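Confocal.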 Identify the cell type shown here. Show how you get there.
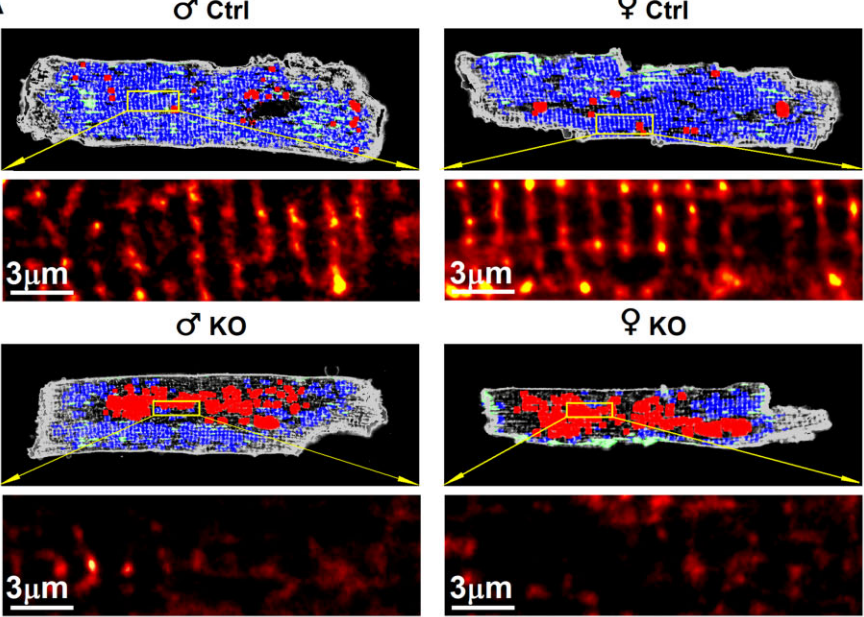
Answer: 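Isolated elongated, rod-shaped cells with blunt, stepped ends.
Cardiomyocytes.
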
